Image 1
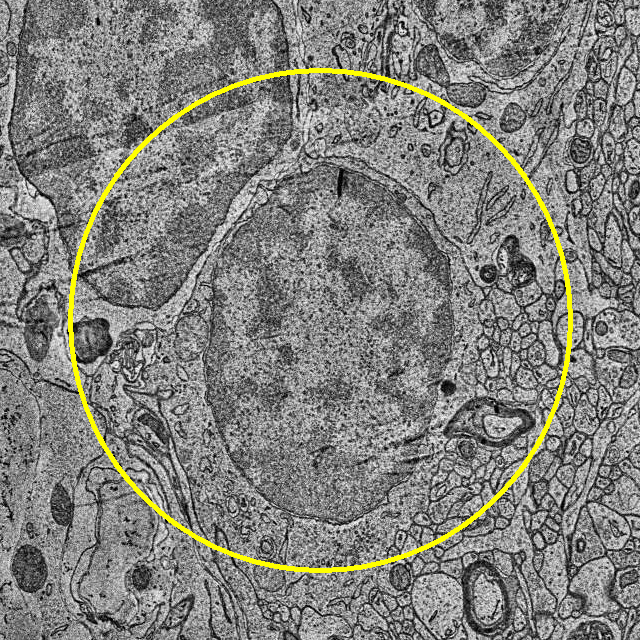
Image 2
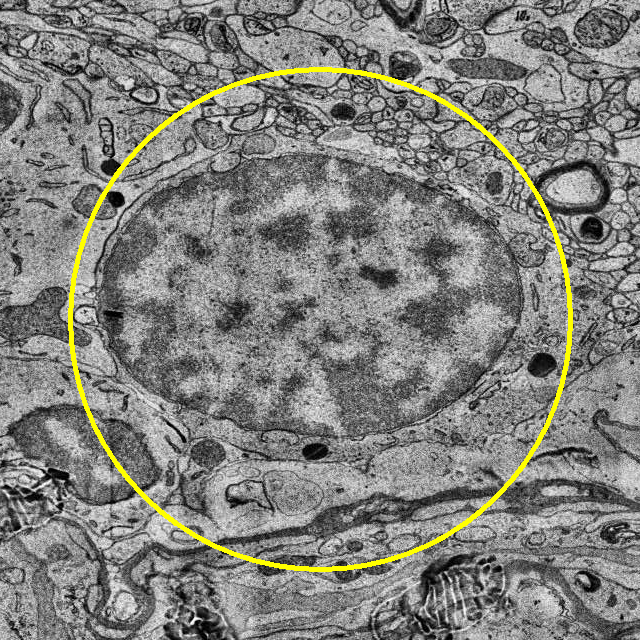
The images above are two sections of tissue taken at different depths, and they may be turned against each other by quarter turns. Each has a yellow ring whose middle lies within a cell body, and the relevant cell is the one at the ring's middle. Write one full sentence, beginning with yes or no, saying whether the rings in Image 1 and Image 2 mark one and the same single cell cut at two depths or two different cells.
Yes, the same individual cell is enclosed by both rings.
